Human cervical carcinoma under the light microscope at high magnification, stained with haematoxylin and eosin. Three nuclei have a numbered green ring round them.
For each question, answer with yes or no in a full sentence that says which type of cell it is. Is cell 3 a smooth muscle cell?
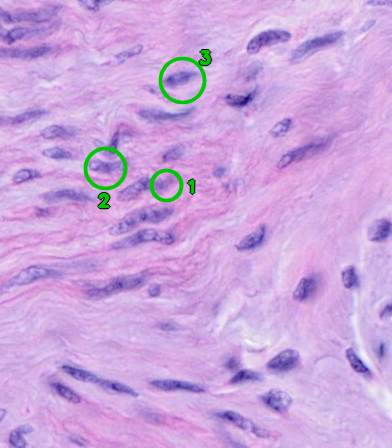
No, cell 3 is not a smooth muscle cell: it is a fibroblast.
